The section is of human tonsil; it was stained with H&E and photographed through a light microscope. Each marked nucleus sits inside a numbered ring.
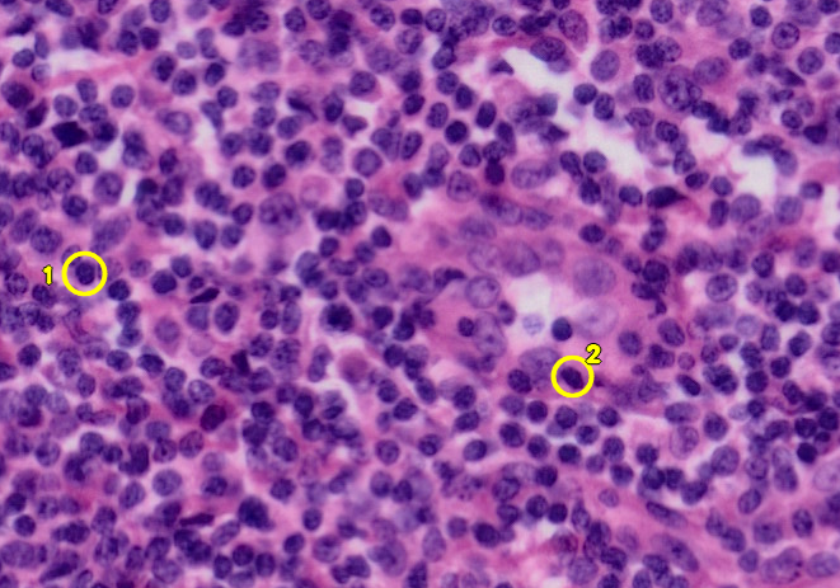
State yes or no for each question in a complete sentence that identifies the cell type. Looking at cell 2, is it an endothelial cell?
Yes, the cell bearing the number 2 is an endothelial cell.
